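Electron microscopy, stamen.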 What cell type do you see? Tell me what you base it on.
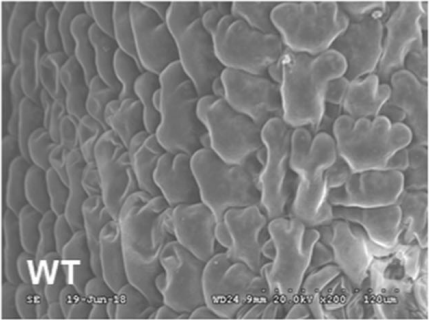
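The cells have irregular, lobed outlines. On this evidence: epidermal cells.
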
